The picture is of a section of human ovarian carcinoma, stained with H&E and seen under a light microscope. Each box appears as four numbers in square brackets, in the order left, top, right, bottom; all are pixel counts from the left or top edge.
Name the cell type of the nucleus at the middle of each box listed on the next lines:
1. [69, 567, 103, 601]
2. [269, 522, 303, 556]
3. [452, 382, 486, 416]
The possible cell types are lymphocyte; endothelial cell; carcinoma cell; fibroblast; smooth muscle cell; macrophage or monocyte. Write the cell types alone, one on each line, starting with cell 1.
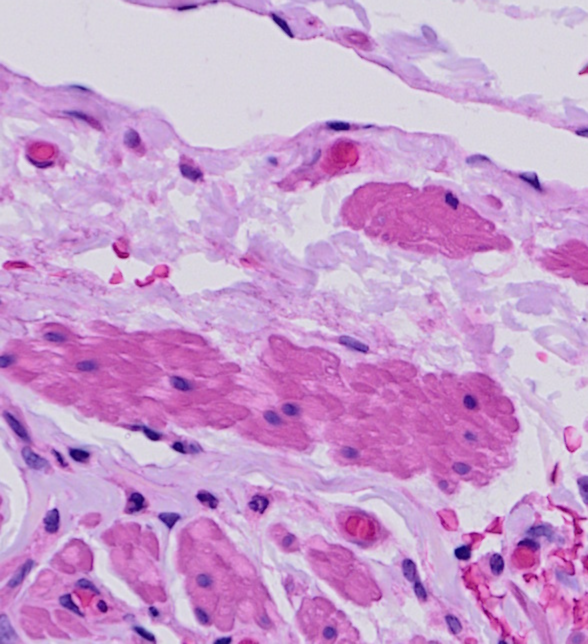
endothelial cell
smooth muscle cell
smooth muscle cell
